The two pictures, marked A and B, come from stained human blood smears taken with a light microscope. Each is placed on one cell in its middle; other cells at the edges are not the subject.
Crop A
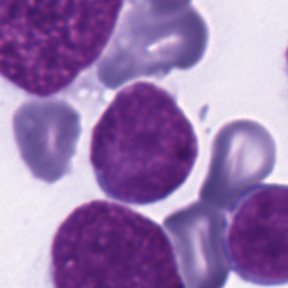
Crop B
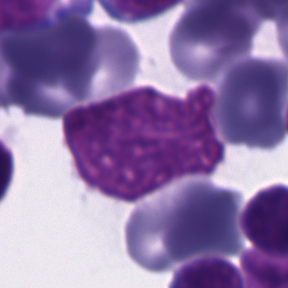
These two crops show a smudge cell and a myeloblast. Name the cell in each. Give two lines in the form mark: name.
A: myeloblast
B: smudge cell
